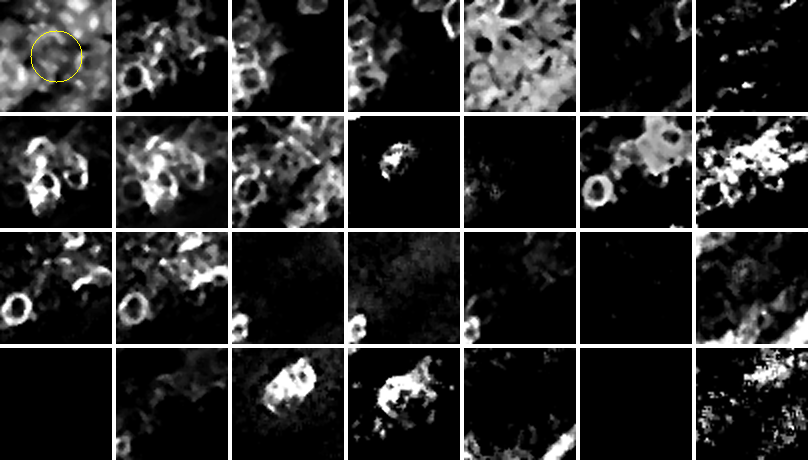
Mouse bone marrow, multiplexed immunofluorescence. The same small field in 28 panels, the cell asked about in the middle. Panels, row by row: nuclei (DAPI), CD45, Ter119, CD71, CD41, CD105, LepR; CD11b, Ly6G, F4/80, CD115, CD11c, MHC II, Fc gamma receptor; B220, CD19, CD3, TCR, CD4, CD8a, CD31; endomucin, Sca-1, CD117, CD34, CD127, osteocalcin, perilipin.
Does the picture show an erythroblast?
No, it shows a megakaryocyte progenitor.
